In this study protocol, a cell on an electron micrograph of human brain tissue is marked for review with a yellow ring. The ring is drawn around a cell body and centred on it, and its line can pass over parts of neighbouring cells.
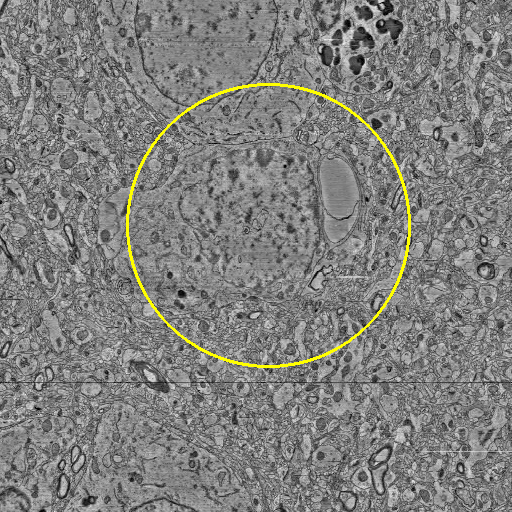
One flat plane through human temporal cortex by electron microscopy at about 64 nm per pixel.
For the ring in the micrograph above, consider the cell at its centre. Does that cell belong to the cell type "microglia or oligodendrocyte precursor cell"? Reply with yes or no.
no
